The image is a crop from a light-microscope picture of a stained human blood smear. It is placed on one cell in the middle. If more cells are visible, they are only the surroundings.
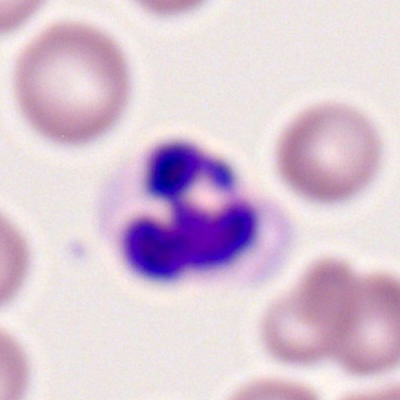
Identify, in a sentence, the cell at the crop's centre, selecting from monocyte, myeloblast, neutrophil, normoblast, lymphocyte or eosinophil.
Located at the centre of the crop is a neutrophil.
